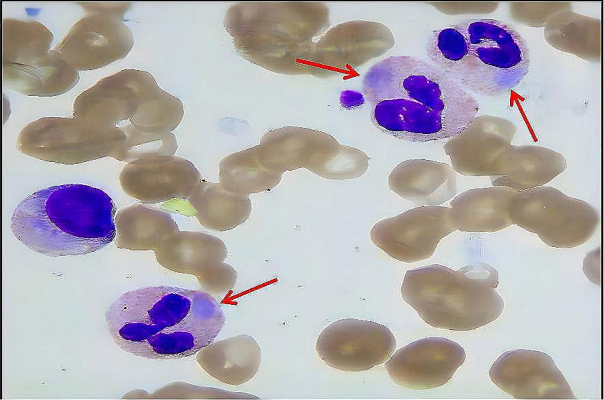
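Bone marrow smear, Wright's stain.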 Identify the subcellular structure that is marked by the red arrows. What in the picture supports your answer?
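Each red arrow tips onto a pale blue patch in the cytoplasm of a cell with a lobed nucleus. The patches sit near the rim of the cells.
Answer: Döhle-like cytoplasmic inclusions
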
